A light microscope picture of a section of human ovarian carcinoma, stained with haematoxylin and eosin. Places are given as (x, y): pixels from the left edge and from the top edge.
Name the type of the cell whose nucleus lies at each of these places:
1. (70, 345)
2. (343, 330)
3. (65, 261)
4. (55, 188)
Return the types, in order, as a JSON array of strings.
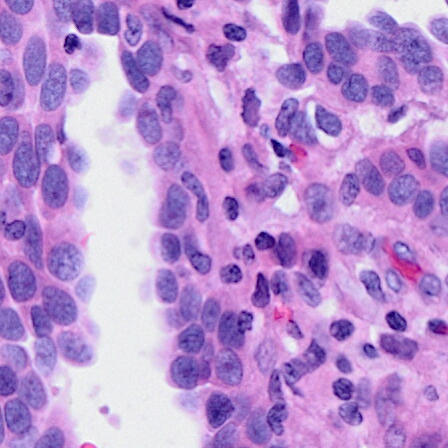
["carcinoma cell", "lymphocyte", "carcinoma cell", "carcinoma cell"]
